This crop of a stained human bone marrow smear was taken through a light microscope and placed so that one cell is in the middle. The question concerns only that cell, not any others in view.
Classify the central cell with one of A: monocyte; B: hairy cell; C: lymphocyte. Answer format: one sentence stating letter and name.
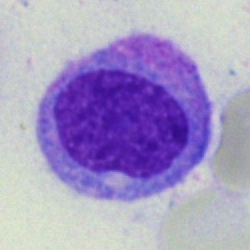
Identification: the cell in the middle is a monocyte, matching option A.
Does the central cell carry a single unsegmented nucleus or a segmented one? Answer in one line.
Its nucleus is compact and single, with a round, oval or kidney-shaped form.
